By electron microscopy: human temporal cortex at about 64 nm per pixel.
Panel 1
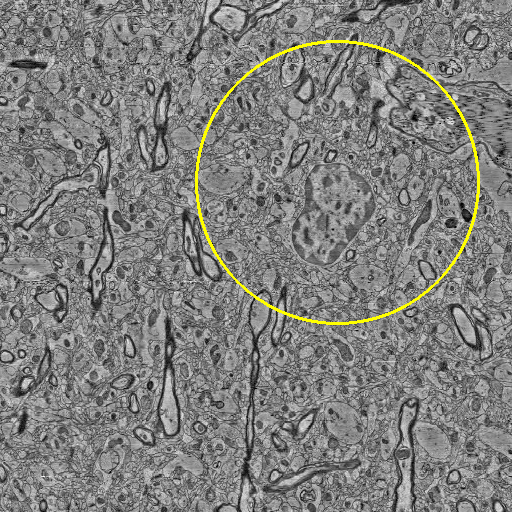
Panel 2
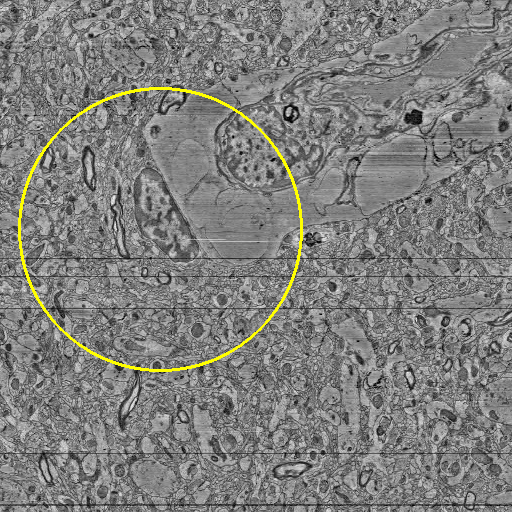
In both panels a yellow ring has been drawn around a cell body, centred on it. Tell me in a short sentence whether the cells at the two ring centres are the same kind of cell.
Yes, they are the same kind of cell.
